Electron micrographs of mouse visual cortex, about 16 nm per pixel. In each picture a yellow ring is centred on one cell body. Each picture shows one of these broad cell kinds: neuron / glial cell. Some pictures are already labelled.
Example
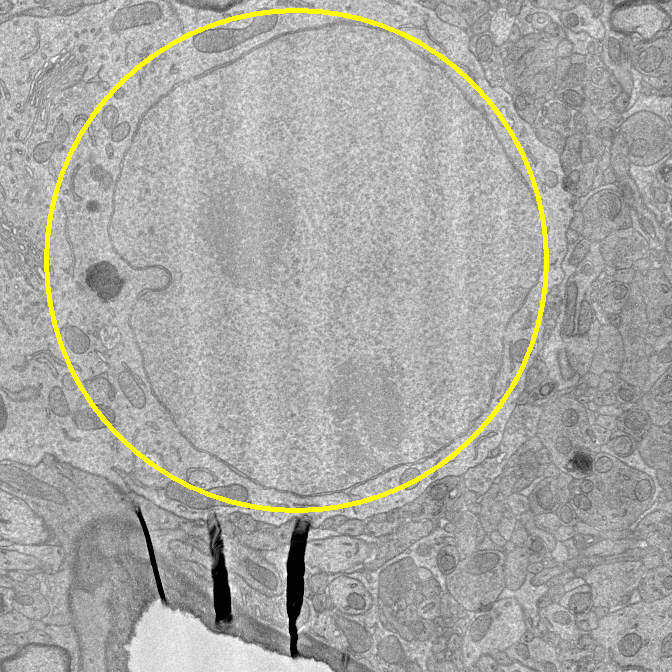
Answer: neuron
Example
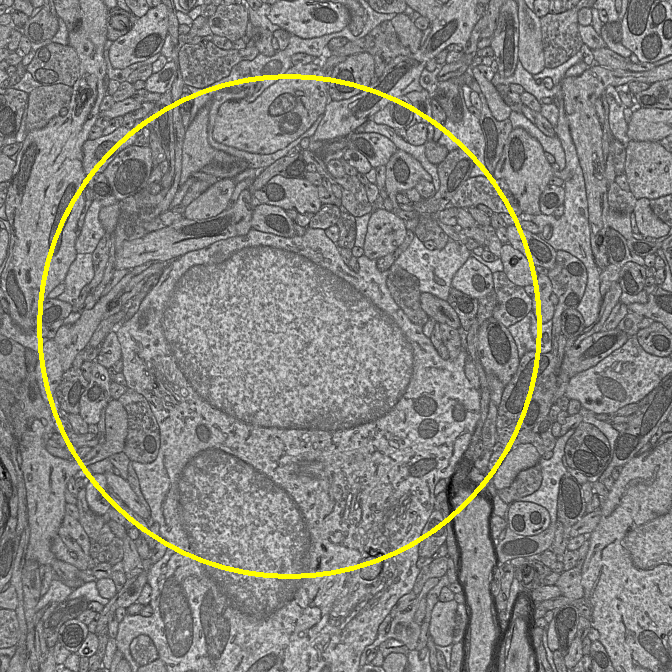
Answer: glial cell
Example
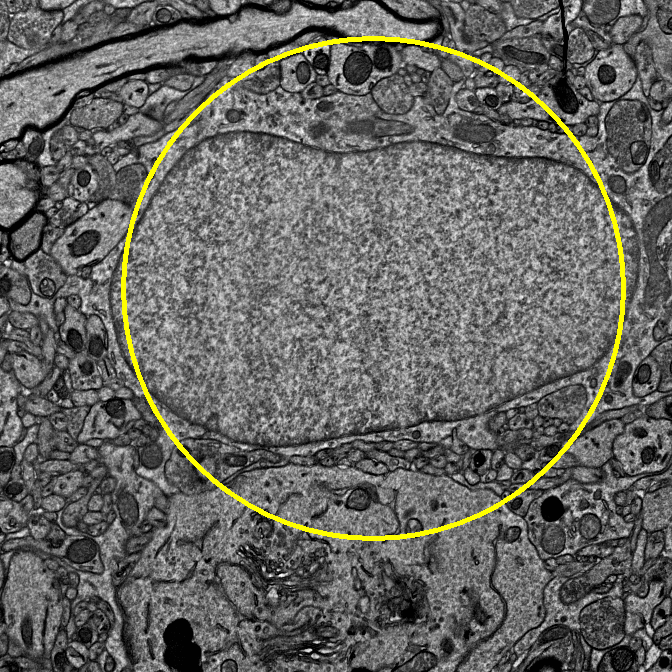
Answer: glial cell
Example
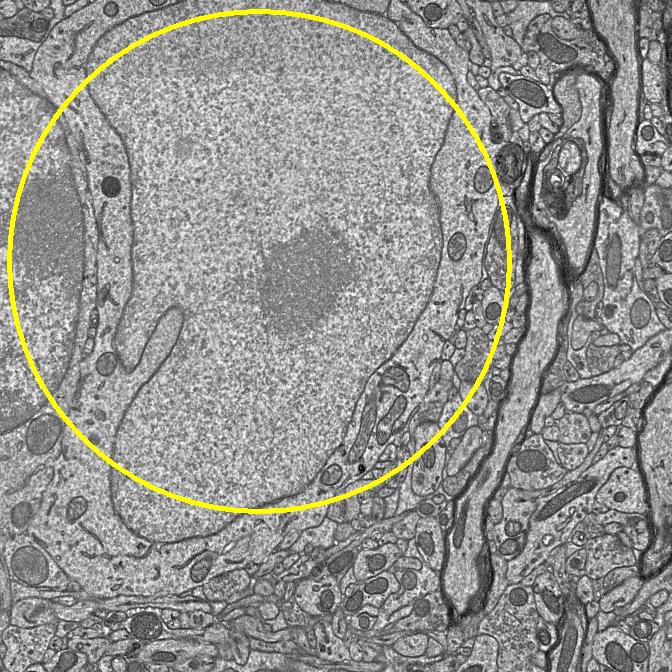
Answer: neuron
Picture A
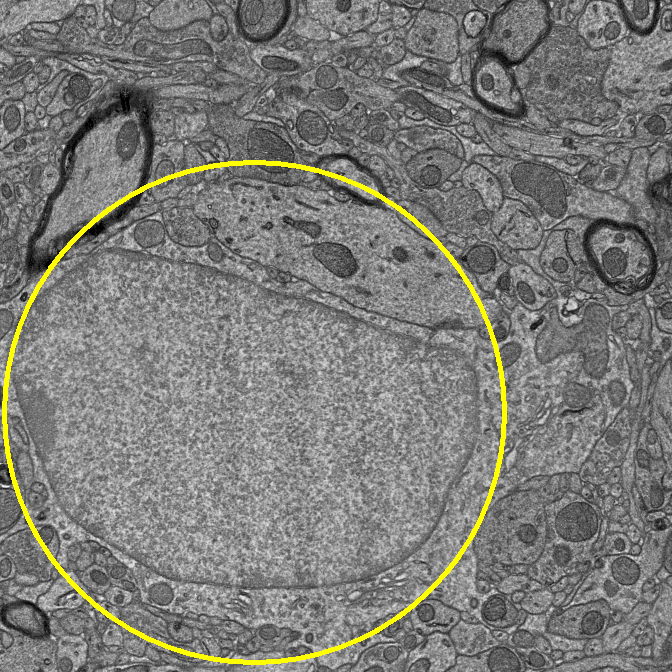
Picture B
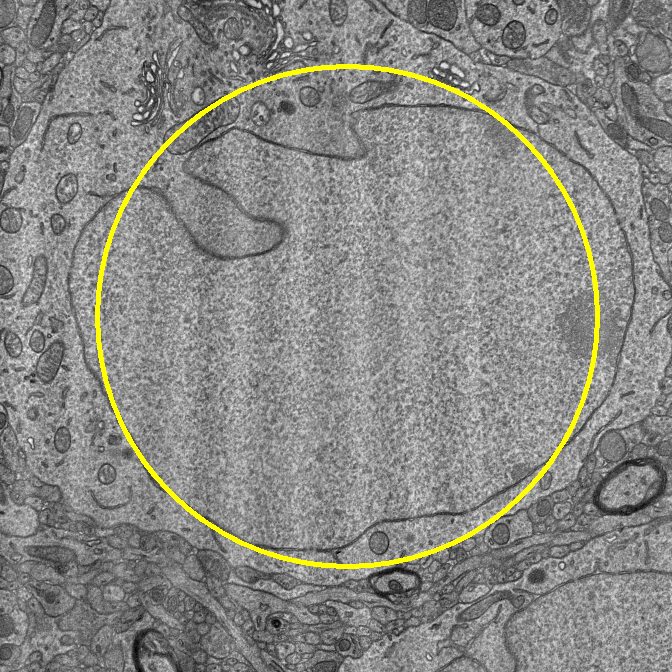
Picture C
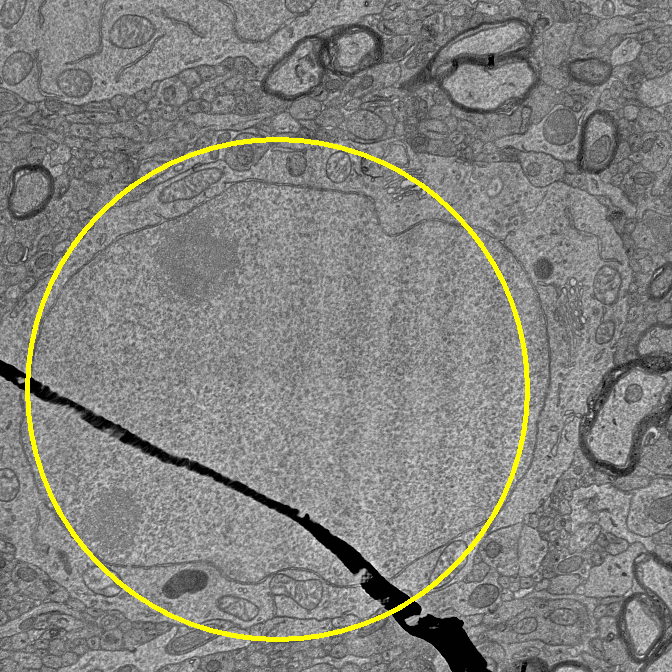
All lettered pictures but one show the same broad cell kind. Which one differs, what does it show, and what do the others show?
Different: A, glial cell. Others: neuron.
